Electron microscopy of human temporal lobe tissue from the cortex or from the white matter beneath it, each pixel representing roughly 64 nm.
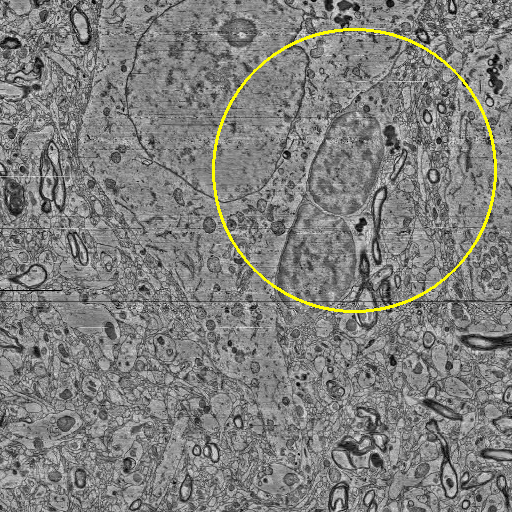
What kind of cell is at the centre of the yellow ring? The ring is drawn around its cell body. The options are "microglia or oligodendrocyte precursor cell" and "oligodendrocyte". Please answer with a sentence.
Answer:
The yellow ring marks the cell body of an oligodendrocyte.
